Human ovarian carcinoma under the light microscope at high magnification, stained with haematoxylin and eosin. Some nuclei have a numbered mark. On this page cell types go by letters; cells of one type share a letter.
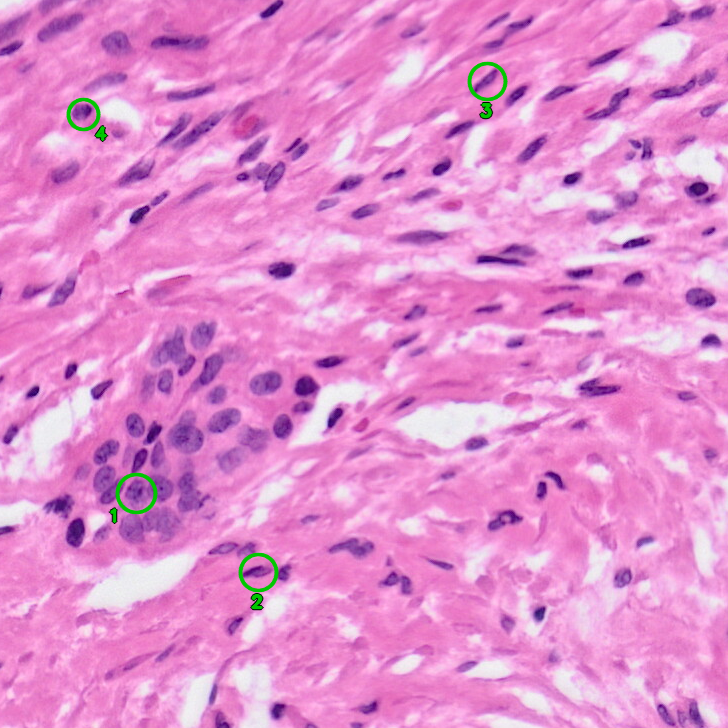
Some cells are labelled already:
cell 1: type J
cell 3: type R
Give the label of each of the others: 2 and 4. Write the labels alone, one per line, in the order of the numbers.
type R
type R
